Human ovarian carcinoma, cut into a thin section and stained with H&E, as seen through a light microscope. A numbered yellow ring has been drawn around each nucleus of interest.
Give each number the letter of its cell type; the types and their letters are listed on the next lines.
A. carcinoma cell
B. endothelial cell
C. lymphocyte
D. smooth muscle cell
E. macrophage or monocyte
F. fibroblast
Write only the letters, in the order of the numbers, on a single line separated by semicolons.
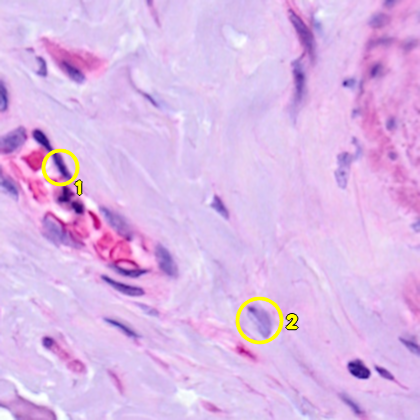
B; F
